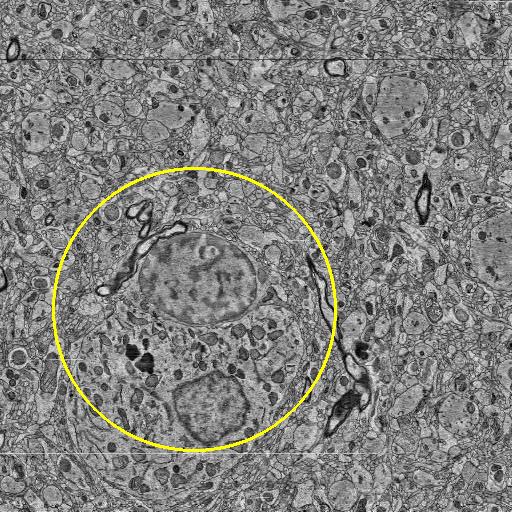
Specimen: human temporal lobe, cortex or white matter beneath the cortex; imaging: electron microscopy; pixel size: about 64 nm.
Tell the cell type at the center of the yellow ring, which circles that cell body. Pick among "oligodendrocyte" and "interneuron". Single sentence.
The ring is centered on the body of an oligodendrocyte.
